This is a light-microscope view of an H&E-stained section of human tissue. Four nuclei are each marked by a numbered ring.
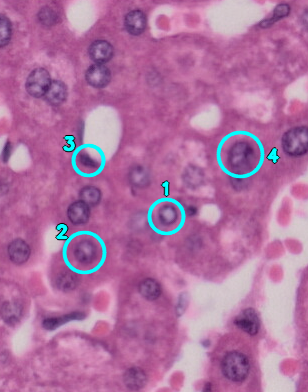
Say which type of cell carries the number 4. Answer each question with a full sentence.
The nucleus with number 4 is that of a hepatocyte.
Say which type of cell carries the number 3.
The cell with the number 3 is a fibroblast or stellate cell.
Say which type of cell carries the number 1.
In this section, the cell numbered 1 is a cholangiocyte.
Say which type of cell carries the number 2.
The identity of cell 2 is that of a hepatocyte.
